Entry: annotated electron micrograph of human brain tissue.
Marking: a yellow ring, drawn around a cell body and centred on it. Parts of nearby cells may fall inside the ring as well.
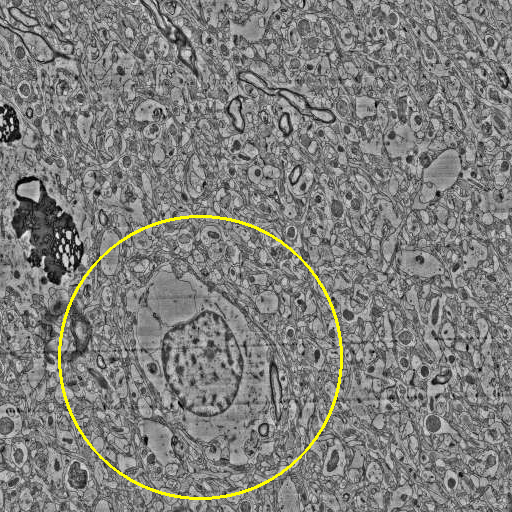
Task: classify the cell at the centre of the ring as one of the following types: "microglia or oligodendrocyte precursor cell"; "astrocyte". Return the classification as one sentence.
The marked cell is classified as an astrocyte.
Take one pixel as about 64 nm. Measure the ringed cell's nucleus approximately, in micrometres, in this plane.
In this plane, about 7 micrometres in length and 5 in width.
